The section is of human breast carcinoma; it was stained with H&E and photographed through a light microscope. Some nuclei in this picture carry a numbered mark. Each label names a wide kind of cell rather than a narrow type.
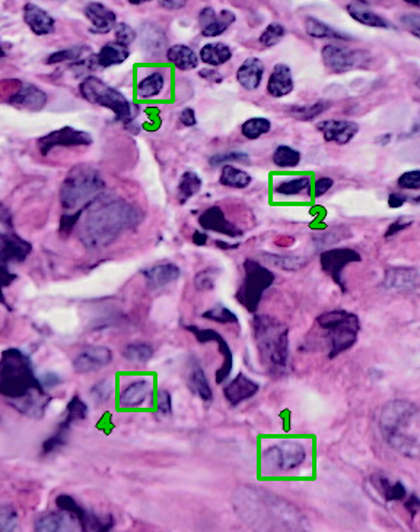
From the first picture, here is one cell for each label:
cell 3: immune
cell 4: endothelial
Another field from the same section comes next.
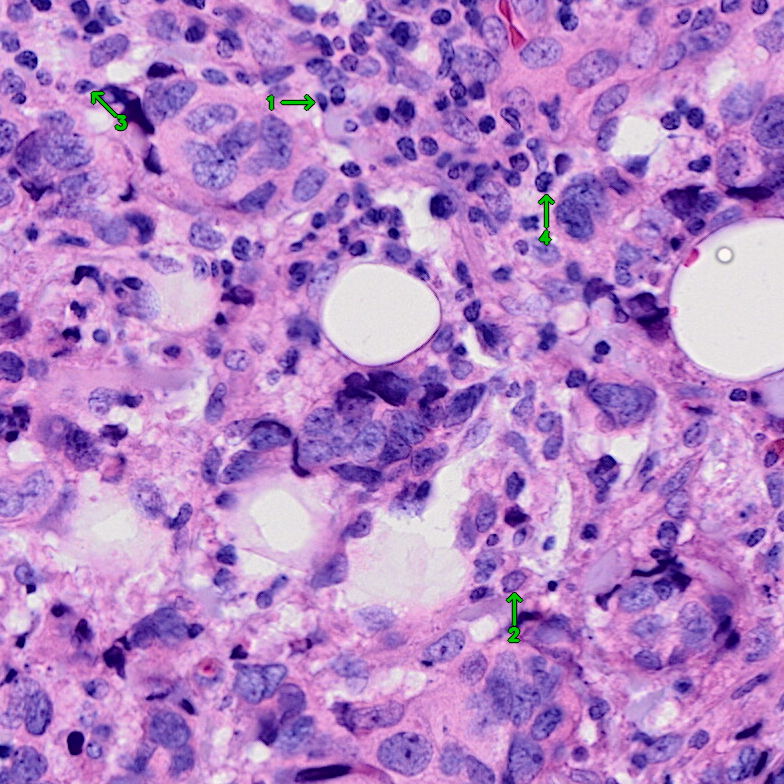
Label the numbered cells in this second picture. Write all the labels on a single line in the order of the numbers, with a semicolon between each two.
immune; immune; immune; immune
